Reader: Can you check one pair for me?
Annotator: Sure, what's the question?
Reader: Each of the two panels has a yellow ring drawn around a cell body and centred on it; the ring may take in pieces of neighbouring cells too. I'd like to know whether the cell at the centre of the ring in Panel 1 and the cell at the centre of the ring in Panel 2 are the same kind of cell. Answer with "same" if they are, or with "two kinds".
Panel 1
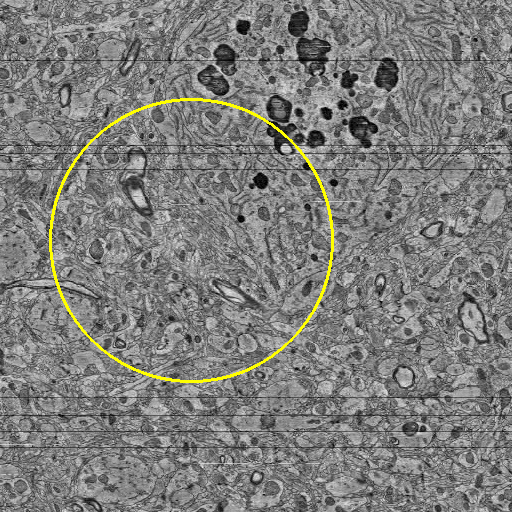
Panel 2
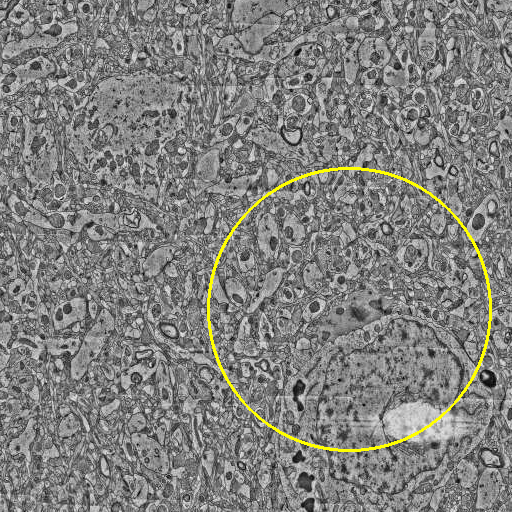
same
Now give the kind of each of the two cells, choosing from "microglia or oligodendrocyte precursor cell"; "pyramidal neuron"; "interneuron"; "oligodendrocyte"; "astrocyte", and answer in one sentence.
Both the first and the second picture show an oligodendrocyte in the ring.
